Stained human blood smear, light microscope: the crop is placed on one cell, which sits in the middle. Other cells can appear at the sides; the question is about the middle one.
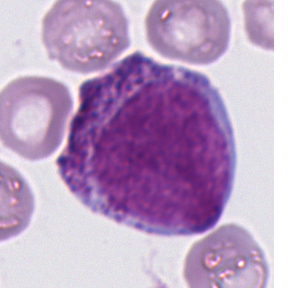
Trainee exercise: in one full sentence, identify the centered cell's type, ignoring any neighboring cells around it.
Centrally within this crop lies a promyelocyte.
